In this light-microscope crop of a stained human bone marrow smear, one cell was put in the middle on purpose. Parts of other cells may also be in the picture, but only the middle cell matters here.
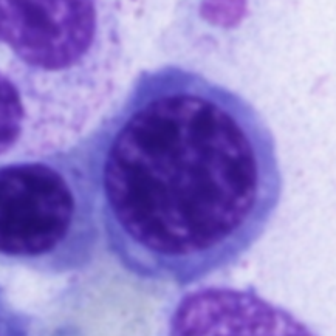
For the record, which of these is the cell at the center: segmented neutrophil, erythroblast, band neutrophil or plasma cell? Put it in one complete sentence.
The cell occupying the middle of the crop is an erythroblast.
